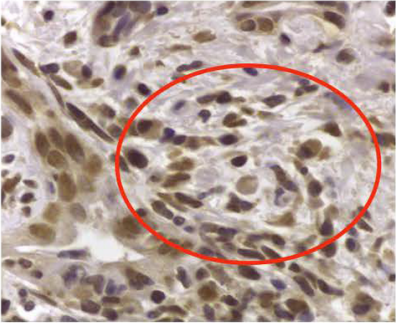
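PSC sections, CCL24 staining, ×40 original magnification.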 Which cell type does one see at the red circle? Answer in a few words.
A: Inflammatory mononuclear cells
